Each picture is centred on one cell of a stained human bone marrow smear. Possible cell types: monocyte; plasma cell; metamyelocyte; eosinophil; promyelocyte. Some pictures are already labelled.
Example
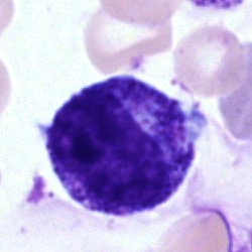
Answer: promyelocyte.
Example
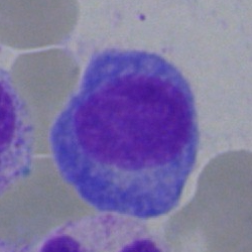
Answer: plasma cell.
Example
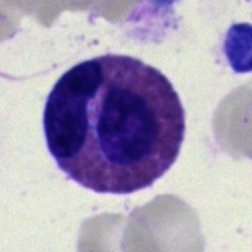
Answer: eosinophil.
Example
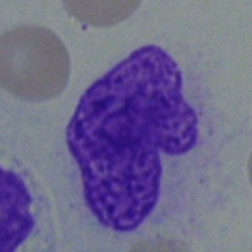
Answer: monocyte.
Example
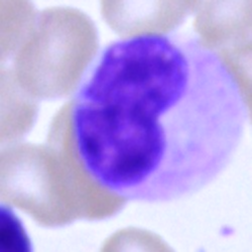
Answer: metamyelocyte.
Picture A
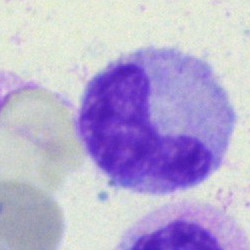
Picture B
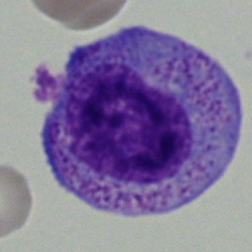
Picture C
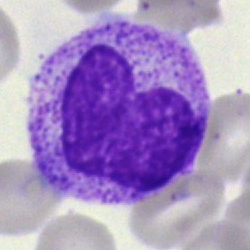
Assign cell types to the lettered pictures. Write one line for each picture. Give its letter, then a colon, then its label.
A: monocyte.
B: promyelocyte.
C: metamyelocyte.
